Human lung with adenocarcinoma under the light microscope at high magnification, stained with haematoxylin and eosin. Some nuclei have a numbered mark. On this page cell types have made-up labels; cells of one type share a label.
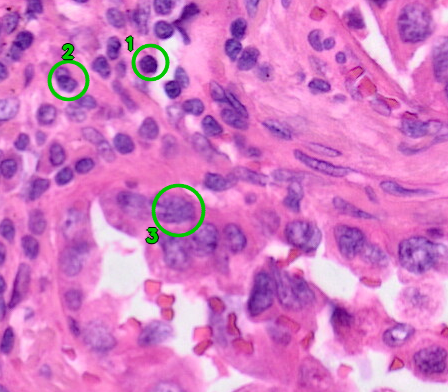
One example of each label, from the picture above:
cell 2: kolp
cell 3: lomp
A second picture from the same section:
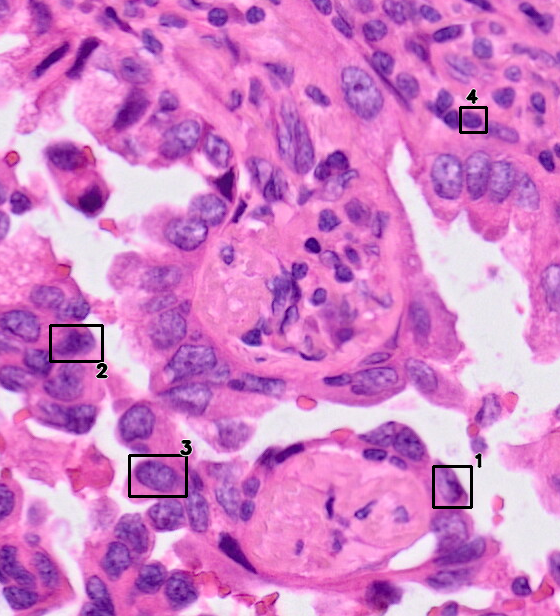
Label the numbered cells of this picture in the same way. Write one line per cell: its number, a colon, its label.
1: lomp
2: lomp
3: lomp
4: kolp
